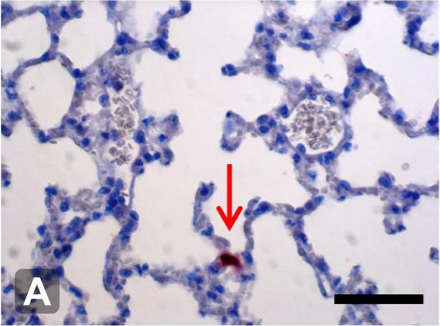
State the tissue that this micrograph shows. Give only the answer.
Lung.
